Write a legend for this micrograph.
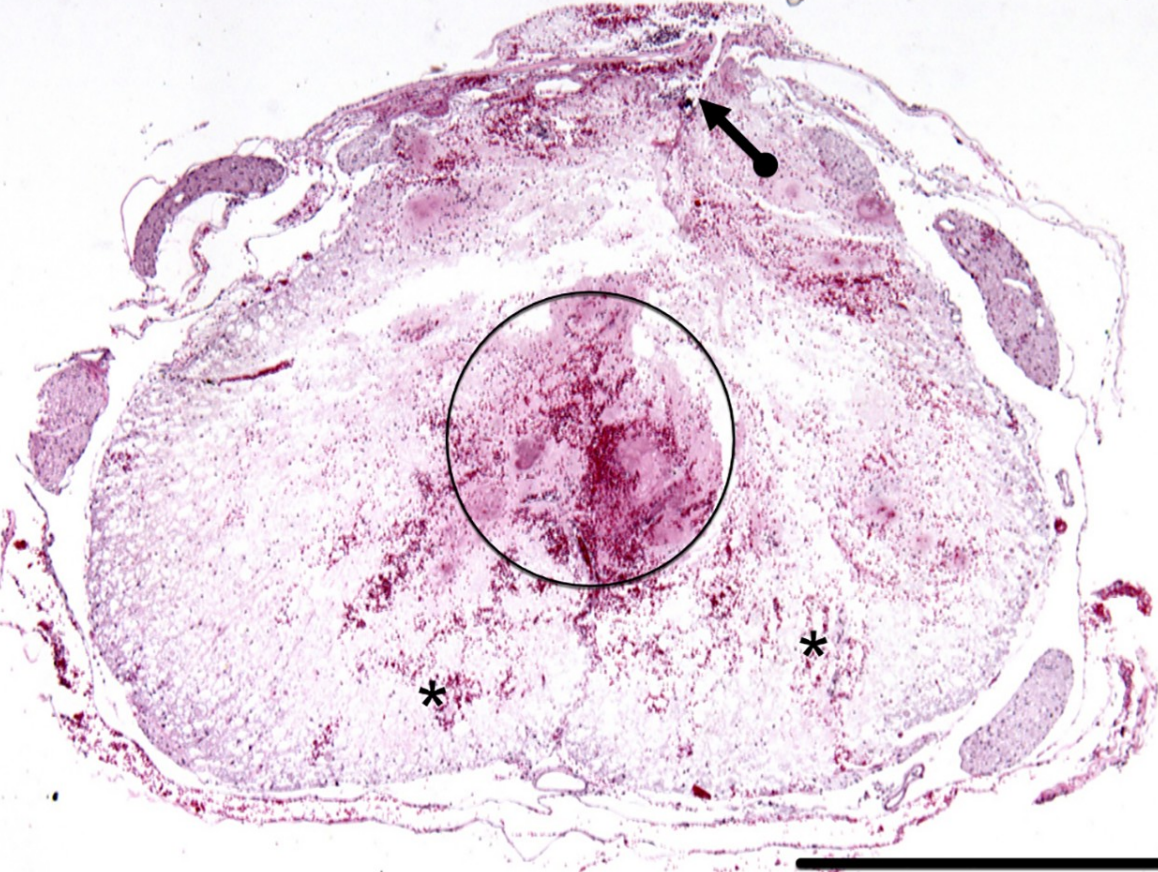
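This is a transverse section through the cord, with pale, finely vacuolated tissue making up most of the section. Thin membranes surround the section, and cut nerve roots lie beside it. Dense streaks and clumps of small, bright red cells run through this region, so it reads as a filled space partly infiltrated by erythrocytes. Smaller foci of red cells are scattered through the surrounding white matter, in keeping with petechial hemorrhaging. At the upper surface, the membranes and the underlying tissue are disrupted, with more red cells at that point.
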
